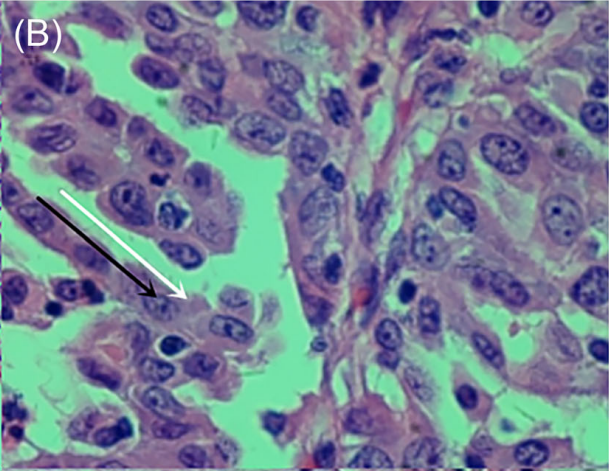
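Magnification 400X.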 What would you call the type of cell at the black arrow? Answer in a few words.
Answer: Tumour cells.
